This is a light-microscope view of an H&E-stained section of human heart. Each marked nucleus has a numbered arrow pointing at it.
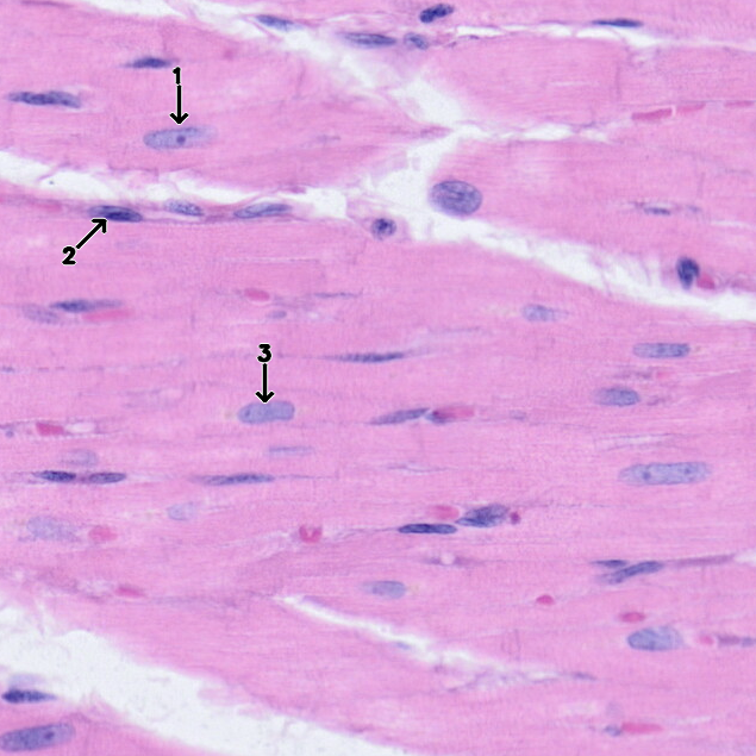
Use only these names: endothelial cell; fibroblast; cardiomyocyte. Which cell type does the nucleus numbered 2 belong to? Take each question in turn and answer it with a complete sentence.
Recognised here as an endothelial cell is the cell numbered 2.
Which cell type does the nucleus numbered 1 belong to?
Marked with the number 1, this cell is a cardiomyocyte.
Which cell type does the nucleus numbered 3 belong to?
The cell that carries the label 3 is a cardiomyocyte.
